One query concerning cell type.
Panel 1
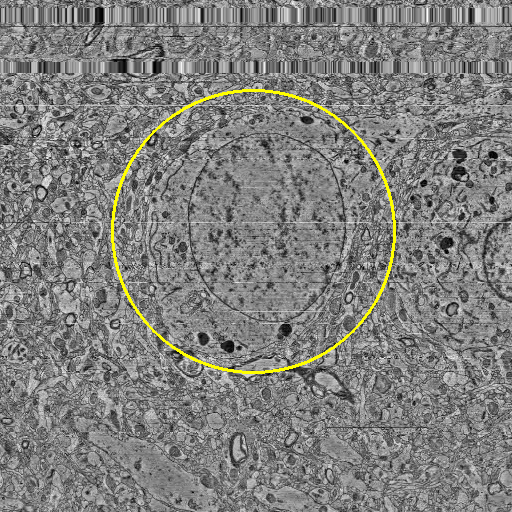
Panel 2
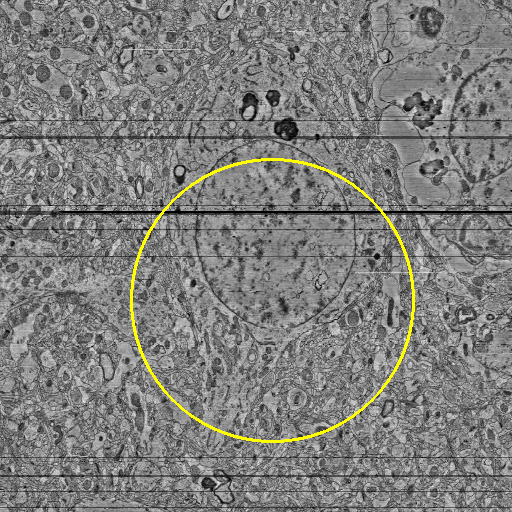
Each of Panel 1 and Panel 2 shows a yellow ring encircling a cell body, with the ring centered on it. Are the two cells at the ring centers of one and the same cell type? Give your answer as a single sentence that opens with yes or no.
Yes, the cell centered in Panel 1 and the one in Panel 2 share a type.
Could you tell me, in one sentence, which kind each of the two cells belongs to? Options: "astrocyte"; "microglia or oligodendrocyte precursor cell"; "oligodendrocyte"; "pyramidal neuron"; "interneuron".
Both pictures show a pyramidal neuron at the centre of the ring.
